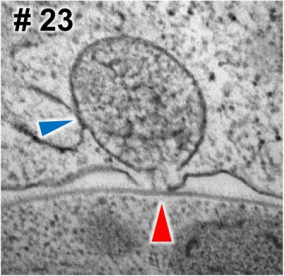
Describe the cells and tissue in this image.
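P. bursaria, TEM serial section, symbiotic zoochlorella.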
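The mitochondrion has a double bounding membrane and a granular matrix with faint internal cristae. At its lower pole it narrows into a short neck that reaches down to the perialgal vacuole membrane, with the alga filling the lower part of the field. On its left side a thin tubule of endoplasmic reticulum runs up to touch the mitochondrial surface.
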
